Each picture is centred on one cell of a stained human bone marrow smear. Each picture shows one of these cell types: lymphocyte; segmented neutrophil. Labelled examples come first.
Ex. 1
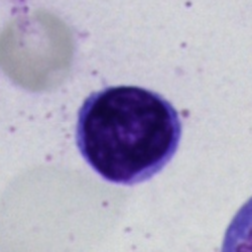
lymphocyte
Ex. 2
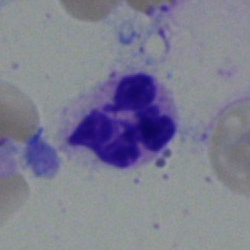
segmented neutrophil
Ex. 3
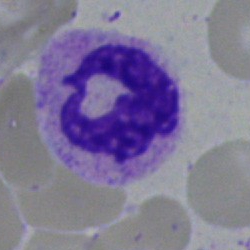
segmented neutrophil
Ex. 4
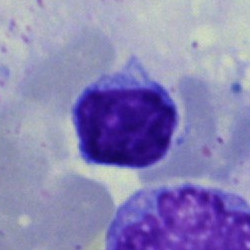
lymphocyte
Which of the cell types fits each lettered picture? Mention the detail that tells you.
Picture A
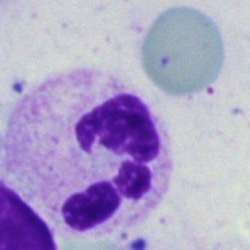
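Answer: segmented neutrophil. The cytoplasm is abundant and pale pinkish-lilac.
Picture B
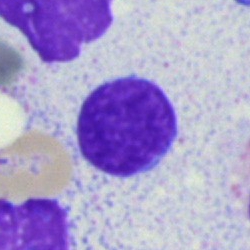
Answer: lymphocyte. The nucleus fills almost the whole cell, leaving at most a barely visible rim of cytoplasm.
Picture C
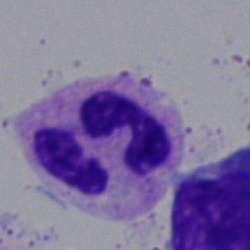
Answer: segmented neutrophil. The cytoplasm is abundant and pale pinkish-lilac.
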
